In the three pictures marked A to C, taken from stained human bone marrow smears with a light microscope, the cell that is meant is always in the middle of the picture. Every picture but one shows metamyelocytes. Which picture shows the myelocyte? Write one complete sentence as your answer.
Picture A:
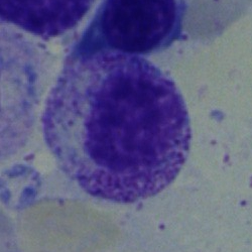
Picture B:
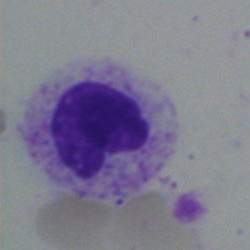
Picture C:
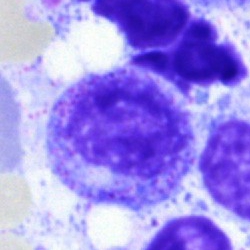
Picture A is the one that shows the myelocyte.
